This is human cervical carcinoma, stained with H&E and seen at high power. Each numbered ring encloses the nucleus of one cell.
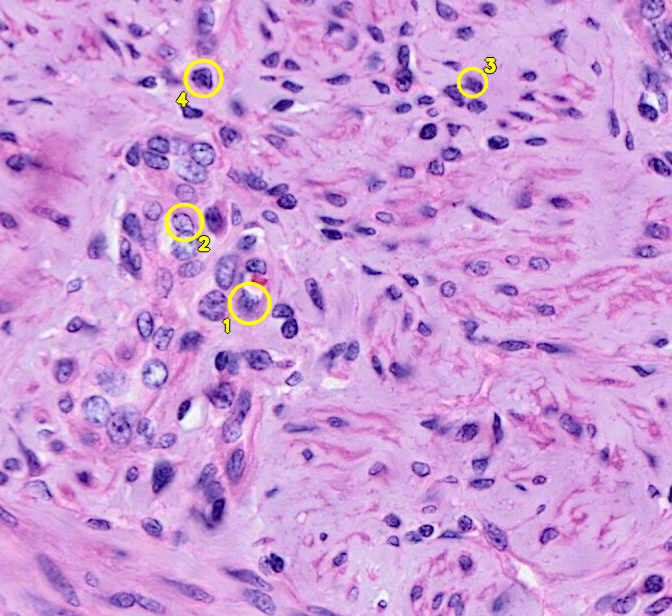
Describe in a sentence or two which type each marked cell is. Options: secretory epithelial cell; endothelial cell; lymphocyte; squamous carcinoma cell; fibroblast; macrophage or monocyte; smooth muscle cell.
Cells 1 and 2 are endothelial cells. Cell 3 is a fibroblast. Cell 4 is a lymphocyte.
